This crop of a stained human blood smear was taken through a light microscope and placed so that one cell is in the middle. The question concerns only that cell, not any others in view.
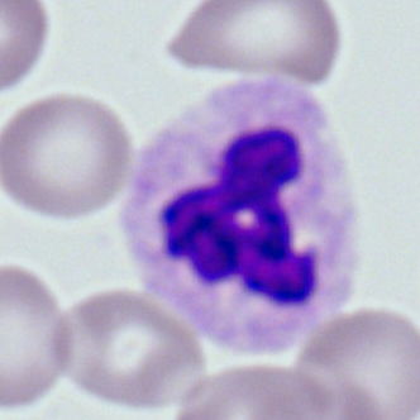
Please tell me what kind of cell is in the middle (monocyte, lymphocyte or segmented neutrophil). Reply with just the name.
segmented neutrophil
